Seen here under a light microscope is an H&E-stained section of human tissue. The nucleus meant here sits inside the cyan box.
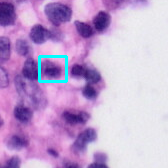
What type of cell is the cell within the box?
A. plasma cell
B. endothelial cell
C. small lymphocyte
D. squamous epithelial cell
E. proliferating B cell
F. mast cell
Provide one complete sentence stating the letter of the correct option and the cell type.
In this section the cell within the box is a proliferating B cell; option E is therefore correct.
